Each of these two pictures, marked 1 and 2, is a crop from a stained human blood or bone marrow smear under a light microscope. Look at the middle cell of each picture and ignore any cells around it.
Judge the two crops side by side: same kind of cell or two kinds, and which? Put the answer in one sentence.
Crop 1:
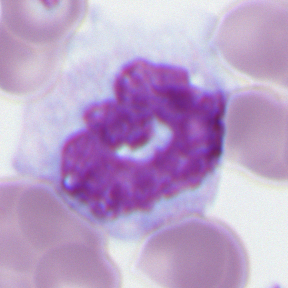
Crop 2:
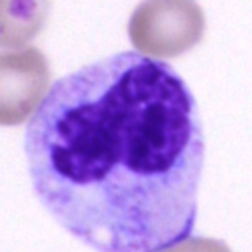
No, on this set crop 1 shows a monocyte and crop 2 shows a metamyelocyte.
